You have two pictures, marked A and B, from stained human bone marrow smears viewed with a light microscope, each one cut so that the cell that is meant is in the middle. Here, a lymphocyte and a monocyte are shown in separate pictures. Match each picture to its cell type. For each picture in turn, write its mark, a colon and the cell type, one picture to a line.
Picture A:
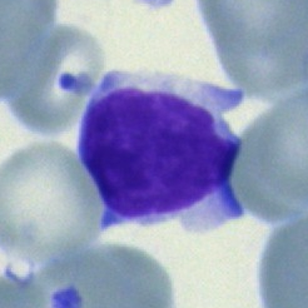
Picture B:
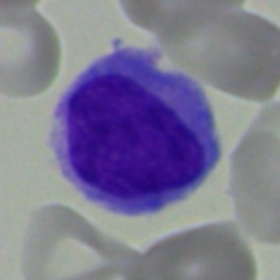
A: lymphocyte
B: monocyte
